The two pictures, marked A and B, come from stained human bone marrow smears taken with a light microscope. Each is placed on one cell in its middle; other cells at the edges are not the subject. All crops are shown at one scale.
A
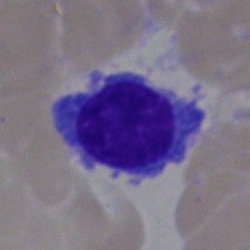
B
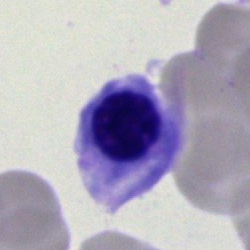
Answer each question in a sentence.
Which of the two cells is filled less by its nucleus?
Of the two, the nucleus in crop B leaves more room for cytoplasm.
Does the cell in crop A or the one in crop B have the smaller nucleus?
Crop B shows the smaller nucleus, since that in crop A covers about 2 times as much area.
